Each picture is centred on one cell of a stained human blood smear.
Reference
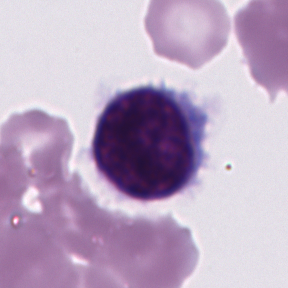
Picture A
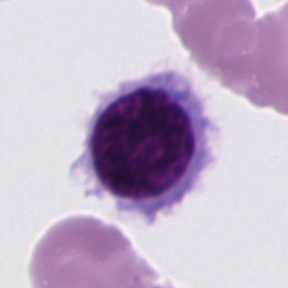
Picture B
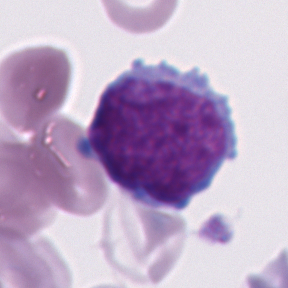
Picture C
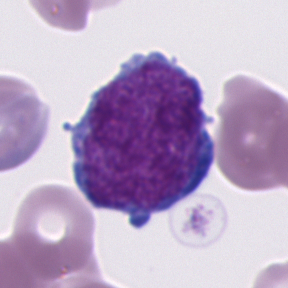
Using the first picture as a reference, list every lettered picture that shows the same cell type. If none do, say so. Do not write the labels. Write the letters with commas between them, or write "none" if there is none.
A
